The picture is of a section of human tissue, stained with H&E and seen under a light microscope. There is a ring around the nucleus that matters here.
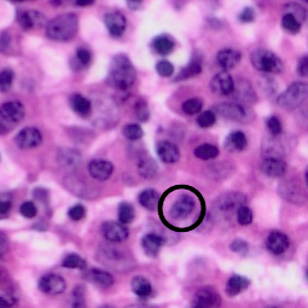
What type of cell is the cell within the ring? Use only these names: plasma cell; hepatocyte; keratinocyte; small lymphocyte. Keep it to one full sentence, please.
In the context of this tissue, the cell within the ring is a plasma cell.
